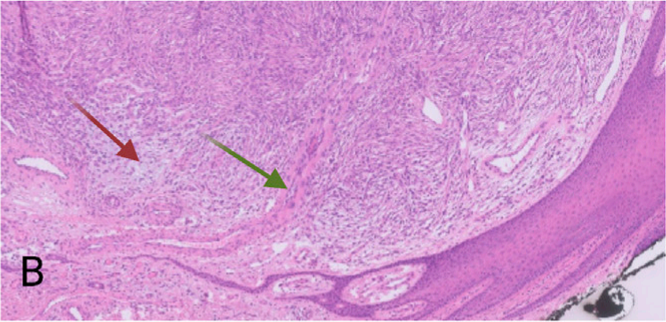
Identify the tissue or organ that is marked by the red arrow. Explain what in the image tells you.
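Myxoid areas. The arrowed area is paler and looser than the surrounding cellular tissue. Cells there are more widely spaced in a pale background.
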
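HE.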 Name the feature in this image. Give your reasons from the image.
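Spindle cells are arranged in intersecting bundles. Elongated nuclei run in parallel within each bundle. The answer: fascicular growth pattern.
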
